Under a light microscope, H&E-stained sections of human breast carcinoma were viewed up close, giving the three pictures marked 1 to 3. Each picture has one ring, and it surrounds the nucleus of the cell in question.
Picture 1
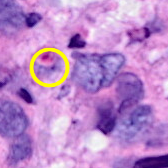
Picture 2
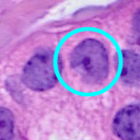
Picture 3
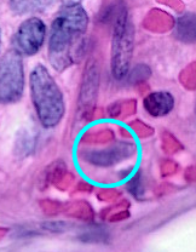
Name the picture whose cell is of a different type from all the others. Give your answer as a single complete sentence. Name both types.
Unlike the rest, which show endothelial cells, picture 2 shows a carcinoma cell.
